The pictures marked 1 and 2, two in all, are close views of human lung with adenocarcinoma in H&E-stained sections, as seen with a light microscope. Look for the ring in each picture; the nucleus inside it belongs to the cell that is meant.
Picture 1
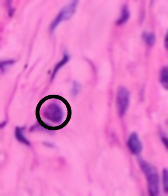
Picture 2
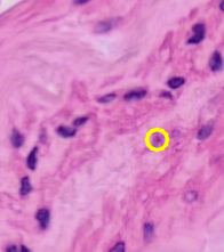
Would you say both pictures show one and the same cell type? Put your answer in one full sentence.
No. Picture 1 shows a plasma cell, but picture 2 shows a “smooth muscle cell or pericyte”.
